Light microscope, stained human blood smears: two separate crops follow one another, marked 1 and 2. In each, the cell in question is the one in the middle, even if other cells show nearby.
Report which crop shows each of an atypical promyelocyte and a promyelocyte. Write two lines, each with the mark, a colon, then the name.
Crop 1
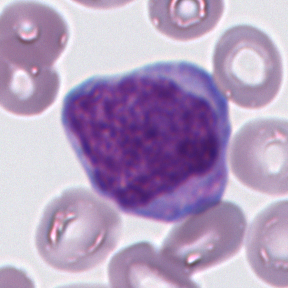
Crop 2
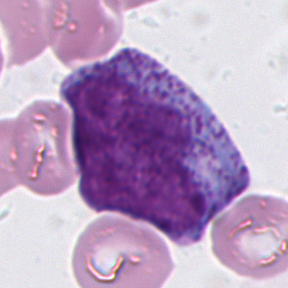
1: atypical promyelocyte
2: promyelocyte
